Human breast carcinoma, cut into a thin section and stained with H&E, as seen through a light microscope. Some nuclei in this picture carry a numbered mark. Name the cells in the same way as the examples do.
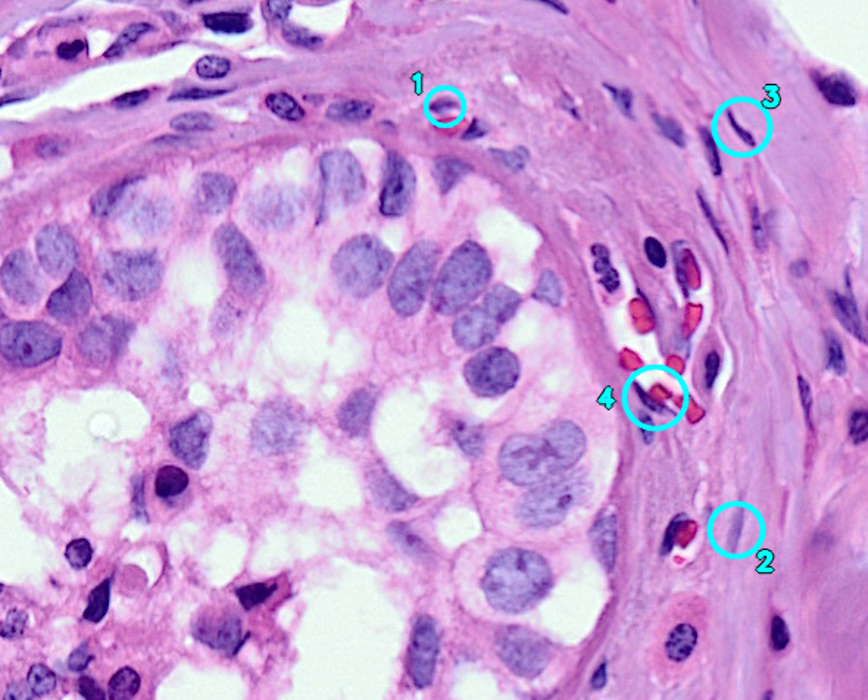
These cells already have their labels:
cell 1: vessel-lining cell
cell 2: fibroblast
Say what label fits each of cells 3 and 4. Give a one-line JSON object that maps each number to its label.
{"3": "fibroblast", "4": "vessel-lining cell"}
